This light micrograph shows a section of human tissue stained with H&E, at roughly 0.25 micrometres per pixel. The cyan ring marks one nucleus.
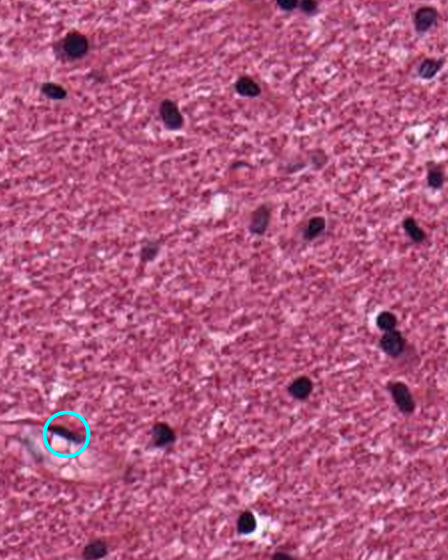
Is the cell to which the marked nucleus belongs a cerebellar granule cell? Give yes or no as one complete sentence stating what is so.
No, the marked nucleus lies within a supporting cell, not within a cerebellar granule cell.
